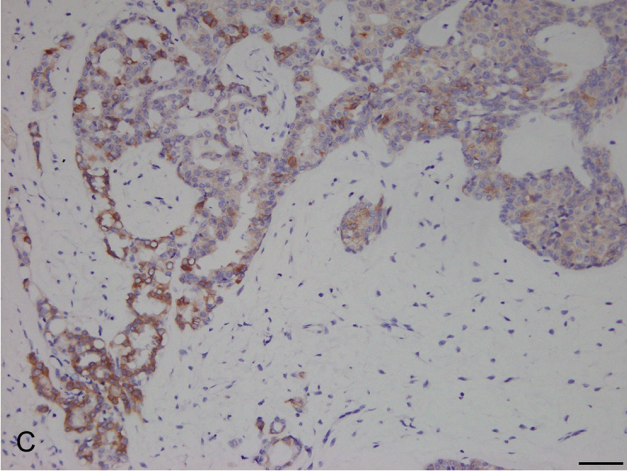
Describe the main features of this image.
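A broad, loose, pale stroma containing scattered spindle-shaped cells fills the lower right. The epithelial cells are cuboidal to polygonal, with round blue nuclei, and some line small open lumina. Elsewhere in the epithelium the brown is fainter and more diffuse, and the stroma is unstained.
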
